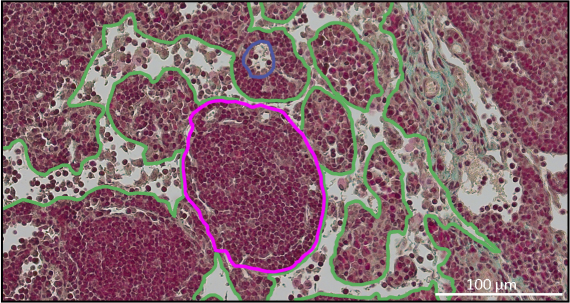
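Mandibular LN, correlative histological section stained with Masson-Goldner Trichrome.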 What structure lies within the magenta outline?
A: Nodules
